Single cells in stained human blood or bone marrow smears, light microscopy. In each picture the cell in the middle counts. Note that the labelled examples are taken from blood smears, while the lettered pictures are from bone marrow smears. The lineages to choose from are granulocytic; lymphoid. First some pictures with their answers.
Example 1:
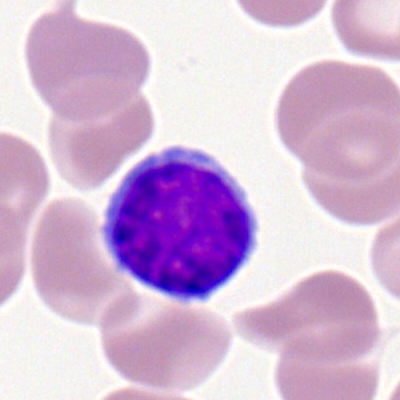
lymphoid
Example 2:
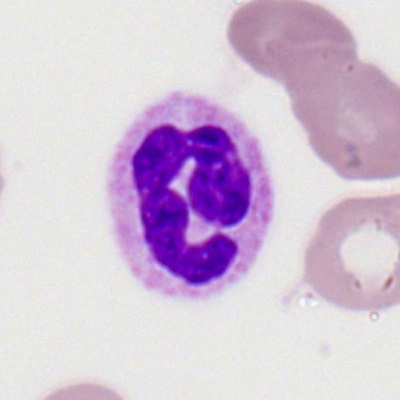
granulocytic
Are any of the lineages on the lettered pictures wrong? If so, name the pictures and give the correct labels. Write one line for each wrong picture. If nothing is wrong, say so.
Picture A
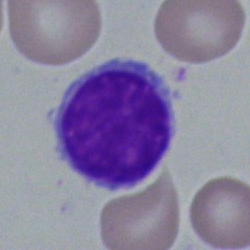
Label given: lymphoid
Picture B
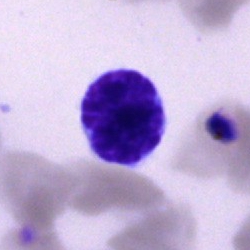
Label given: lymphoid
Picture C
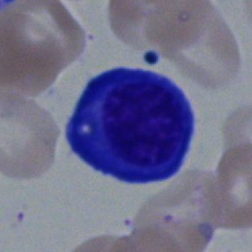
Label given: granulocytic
C: change granulocytic to lymphoid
